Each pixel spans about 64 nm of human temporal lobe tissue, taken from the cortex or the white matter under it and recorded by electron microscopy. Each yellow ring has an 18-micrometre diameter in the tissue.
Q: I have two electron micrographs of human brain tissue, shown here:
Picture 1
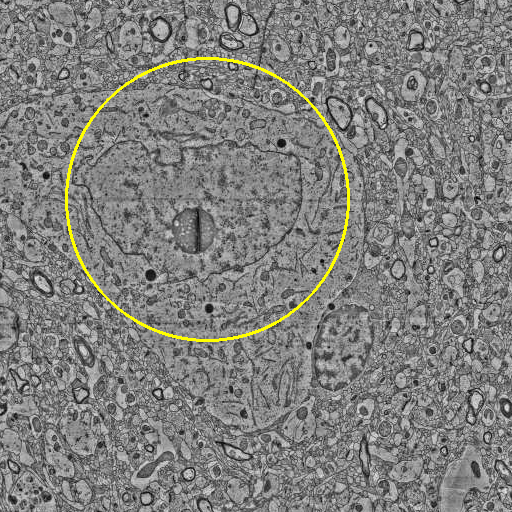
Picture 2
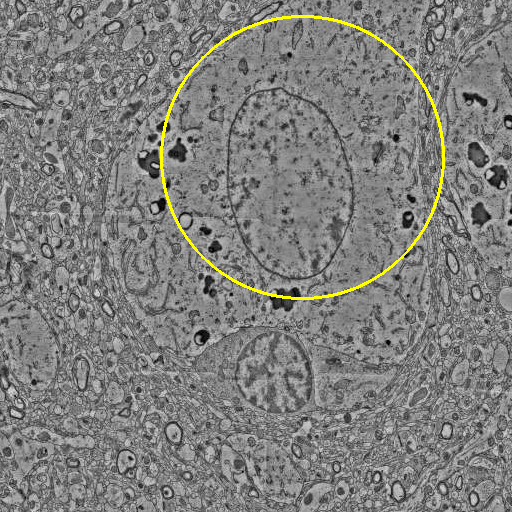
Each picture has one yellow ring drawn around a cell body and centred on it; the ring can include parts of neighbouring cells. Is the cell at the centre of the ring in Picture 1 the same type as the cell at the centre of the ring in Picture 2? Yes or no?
no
